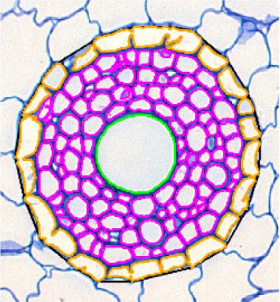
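Enlarged view of the centre of a section with blue-stained walls: a dense cylinder of small rounded cells outlined in magenta surrounds a large round empty cell circled in green. A single ring of somewhat flattened cells outlined in orange encircles the cylinder, and outside it lie large thin-walled polygonal cells. The orange ring is the endodermis, the magenta cells make up the stele, and the green-circled cell is the central metaxylem.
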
